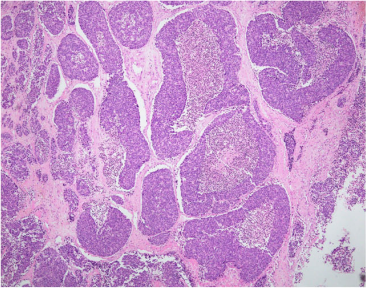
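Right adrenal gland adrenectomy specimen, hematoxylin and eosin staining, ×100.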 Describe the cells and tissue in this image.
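This is a tumour growing as large, rounded nests of densely packed malignant cells, separated by thin bands of pink fibrous stroma. Inside many nests the centre is paler and looser, with scattered debris, which marks areas of necrosis. Some nests are surrounded by clear spaces where the tissue has retracted from the stroma.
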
